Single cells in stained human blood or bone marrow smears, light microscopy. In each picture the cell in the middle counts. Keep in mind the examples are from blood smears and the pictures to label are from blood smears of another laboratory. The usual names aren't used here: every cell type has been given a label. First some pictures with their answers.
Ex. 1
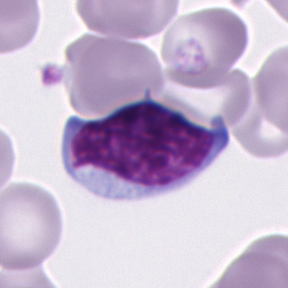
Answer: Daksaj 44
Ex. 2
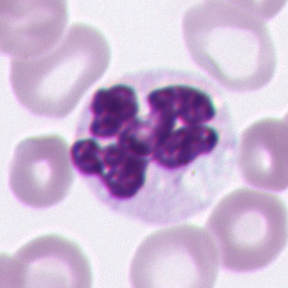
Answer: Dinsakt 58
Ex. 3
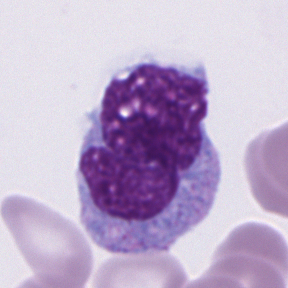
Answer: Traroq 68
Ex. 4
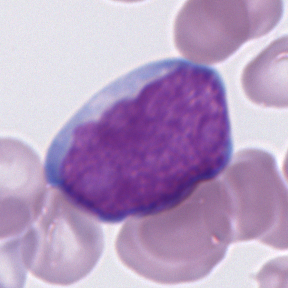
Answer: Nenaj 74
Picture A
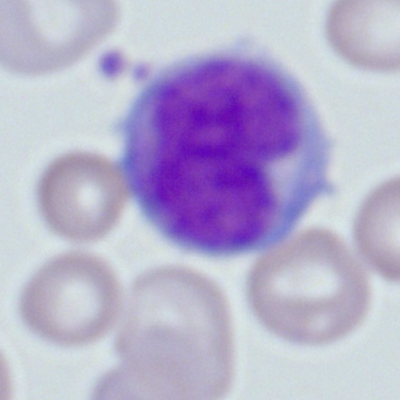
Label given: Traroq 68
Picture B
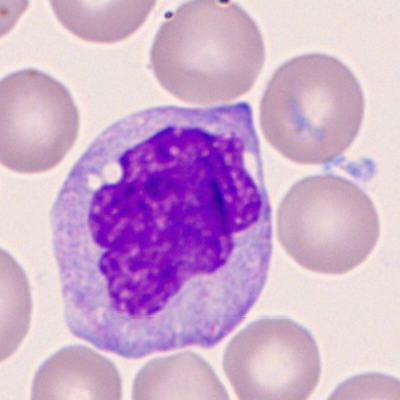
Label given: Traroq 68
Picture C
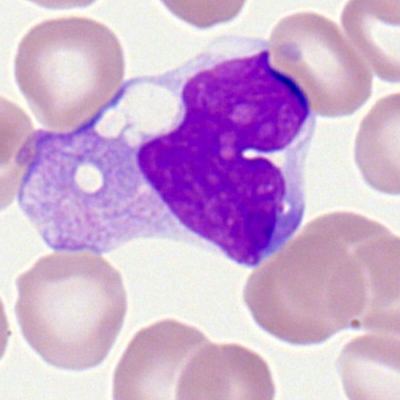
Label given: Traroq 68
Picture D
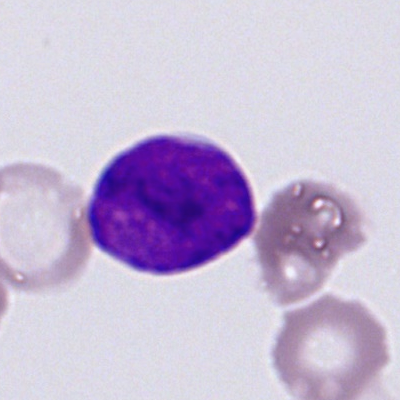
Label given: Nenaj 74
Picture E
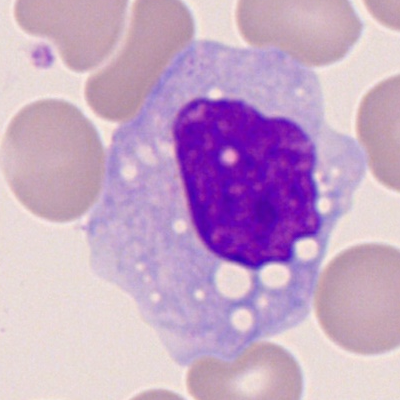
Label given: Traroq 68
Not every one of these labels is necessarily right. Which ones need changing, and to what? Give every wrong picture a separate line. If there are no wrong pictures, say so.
No label is wrong.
